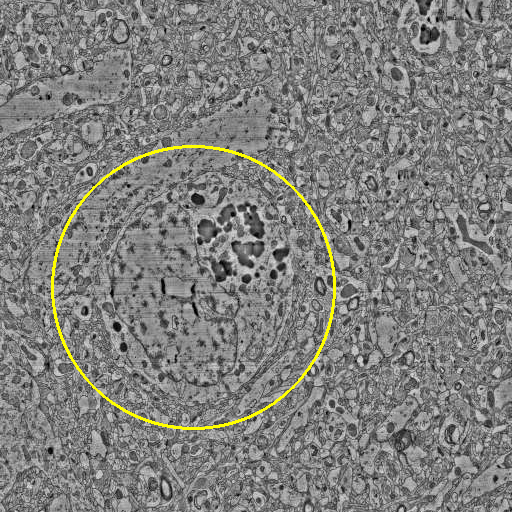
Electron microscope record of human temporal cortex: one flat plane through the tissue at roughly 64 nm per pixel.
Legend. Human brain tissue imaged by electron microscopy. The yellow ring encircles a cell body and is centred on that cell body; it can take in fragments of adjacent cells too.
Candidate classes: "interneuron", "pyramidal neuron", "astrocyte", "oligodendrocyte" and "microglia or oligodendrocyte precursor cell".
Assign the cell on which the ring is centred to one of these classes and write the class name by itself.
astrocyte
